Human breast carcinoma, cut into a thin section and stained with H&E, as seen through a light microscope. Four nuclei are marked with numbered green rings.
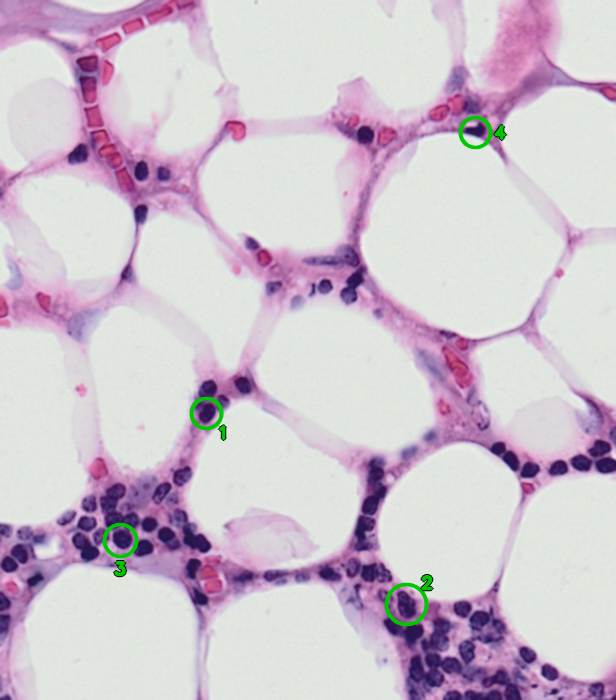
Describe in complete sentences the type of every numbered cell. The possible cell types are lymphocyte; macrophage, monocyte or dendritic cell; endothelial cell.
Cell 1 is a lymphocyte, cell 2 is a lymphocyte, cell 3 is a lymphocyte and cell 4 is an endothelial cell.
